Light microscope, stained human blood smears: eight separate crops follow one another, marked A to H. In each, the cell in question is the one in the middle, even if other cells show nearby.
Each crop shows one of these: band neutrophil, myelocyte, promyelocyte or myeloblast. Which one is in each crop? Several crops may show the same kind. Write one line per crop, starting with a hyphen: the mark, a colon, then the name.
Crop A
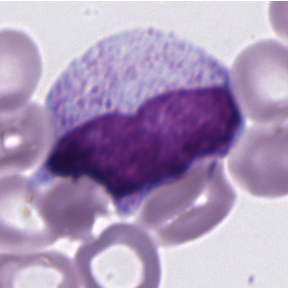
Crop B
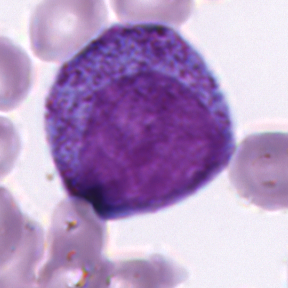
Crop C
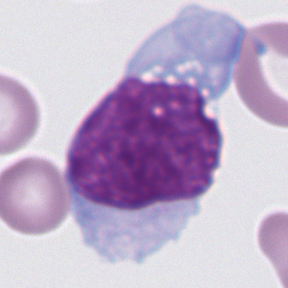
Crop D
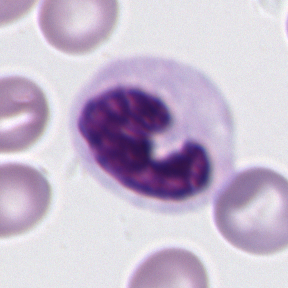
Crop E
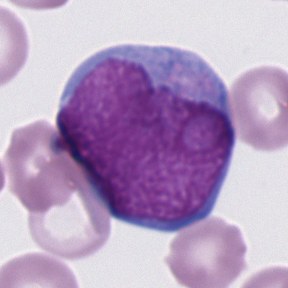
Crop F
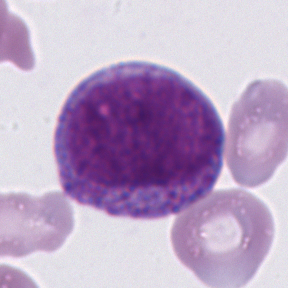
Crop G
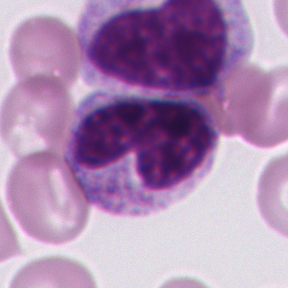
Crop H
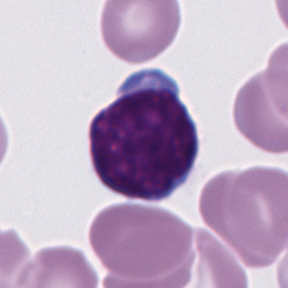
- A: myelocyte
- B: promyelocyte
- C: myeloblast
- D: band neutrophil
- E: myeloblast
- F: promyelocyte
- G: band neutrophil
- H: myeloblast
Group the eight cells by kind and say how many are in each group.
myeloblast: 3
promyelocyte: 2
band neutrophil: 2
myelocyte: 1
